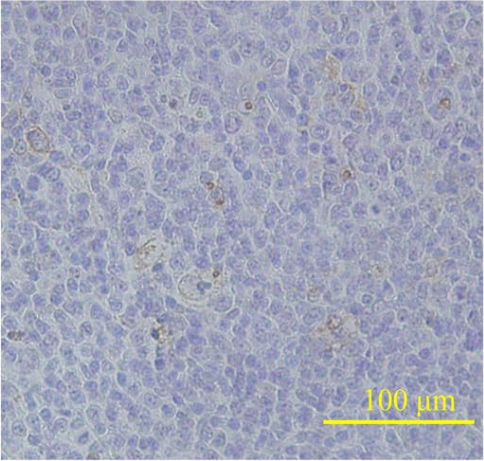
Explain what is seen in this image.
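This is densely cellular lymphoid tissue made of closely packed round cells with blue-stained nuclei and scant cytoplasm. Scattered among them are cells with brown granular staining. Several of the brown-stained cells lie within clear spaces or halos. The brown cells are irregularly distributed across the field rather than forming a layer.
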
